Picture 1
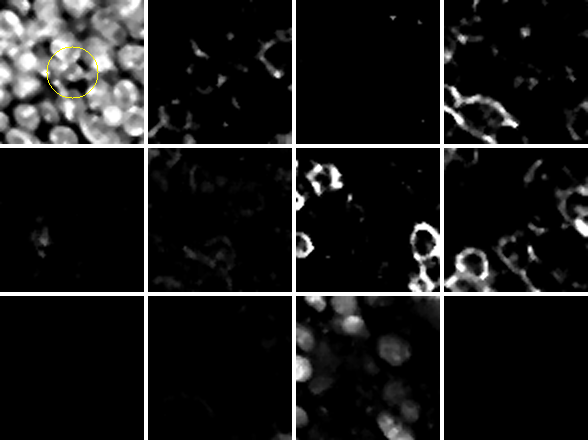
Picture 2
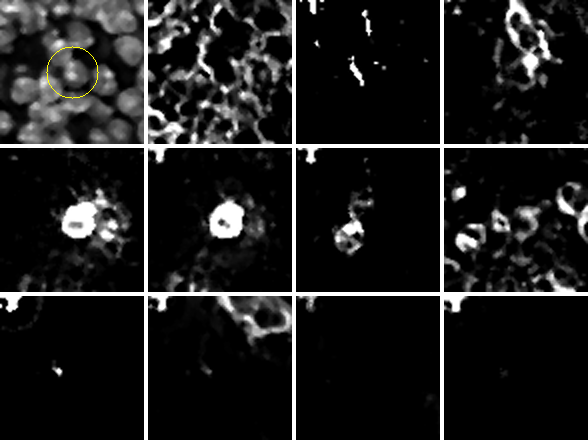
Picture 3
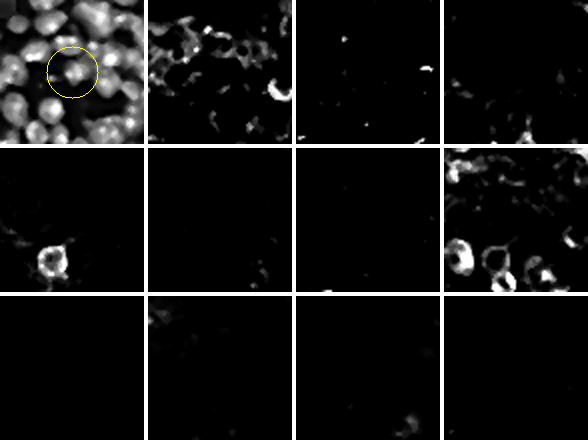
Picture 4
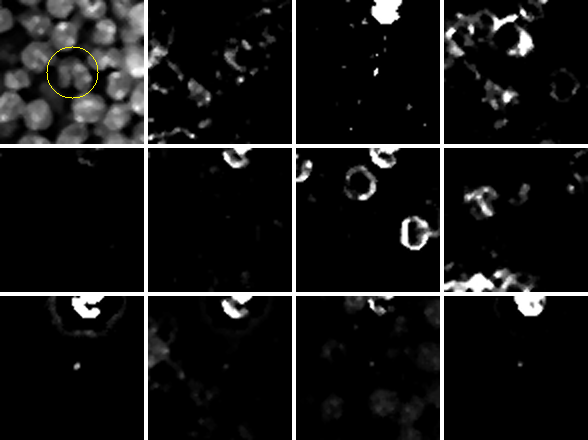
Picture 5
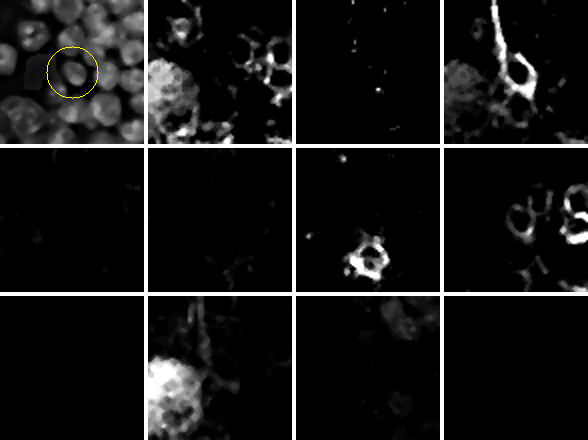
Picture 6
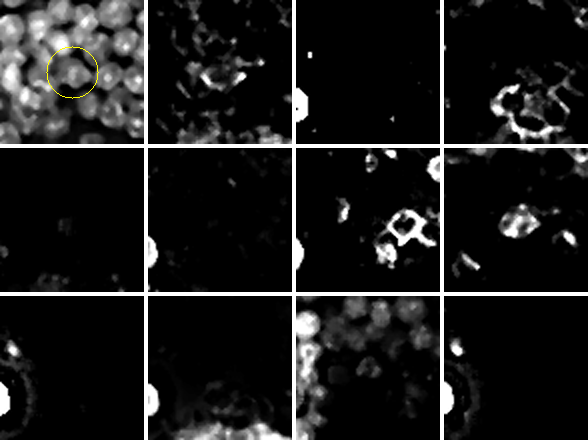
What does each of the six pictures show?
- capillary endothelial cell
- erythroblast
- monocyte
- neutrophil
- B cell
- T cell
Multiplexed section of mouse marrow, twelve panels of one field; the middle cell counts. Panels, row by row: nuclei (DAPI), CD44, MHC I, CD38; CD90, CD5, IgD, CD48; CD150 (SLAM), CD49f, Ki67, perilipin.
Picture 1: erythroblast
Picture 2: T cell
Picture 3: neutrophil
Picture 4: neutrophil
Picture 5: capillary endothelial cell
Picture 6: monocyte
